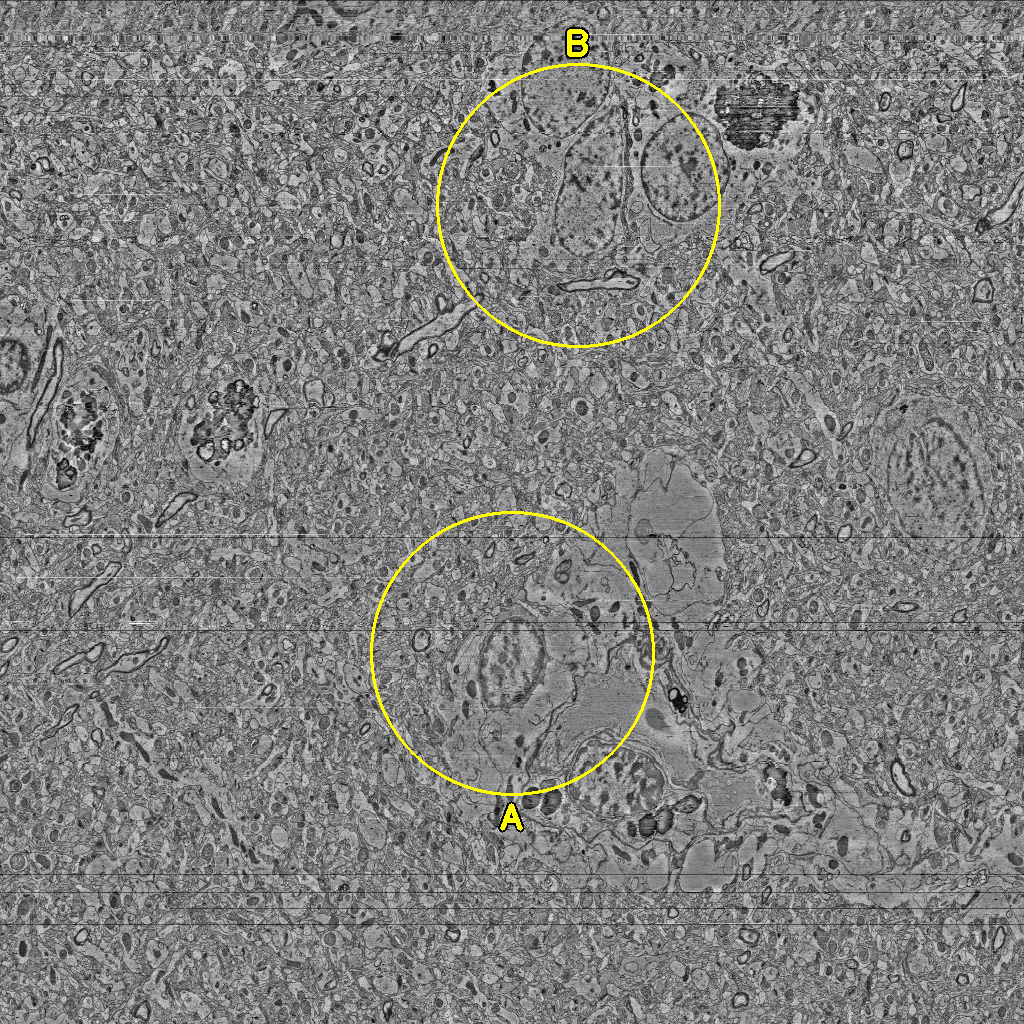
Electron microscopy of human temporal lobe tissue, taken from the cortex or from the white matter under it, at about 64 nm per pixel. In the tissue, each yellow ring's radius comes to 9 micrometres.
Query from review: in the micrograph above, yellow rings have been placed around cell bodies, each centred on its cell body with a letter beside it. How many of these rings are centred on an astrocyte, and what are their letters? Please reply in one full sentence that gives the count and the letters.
No ring is centred on an astrocyte, which makes the count zero.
